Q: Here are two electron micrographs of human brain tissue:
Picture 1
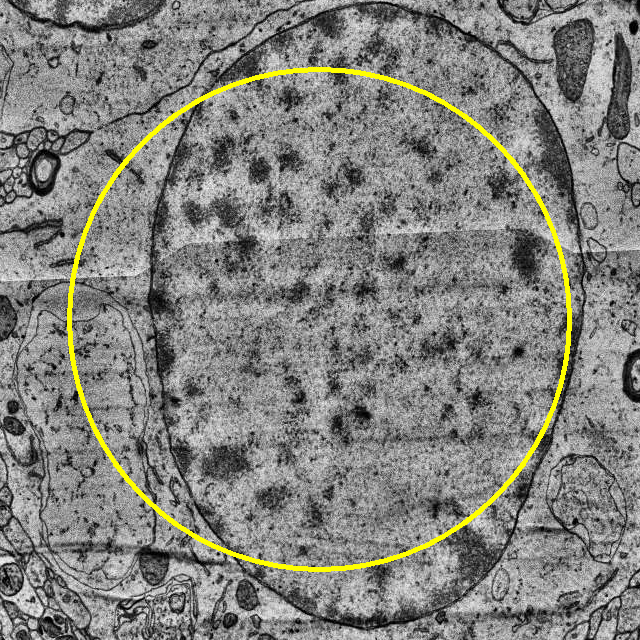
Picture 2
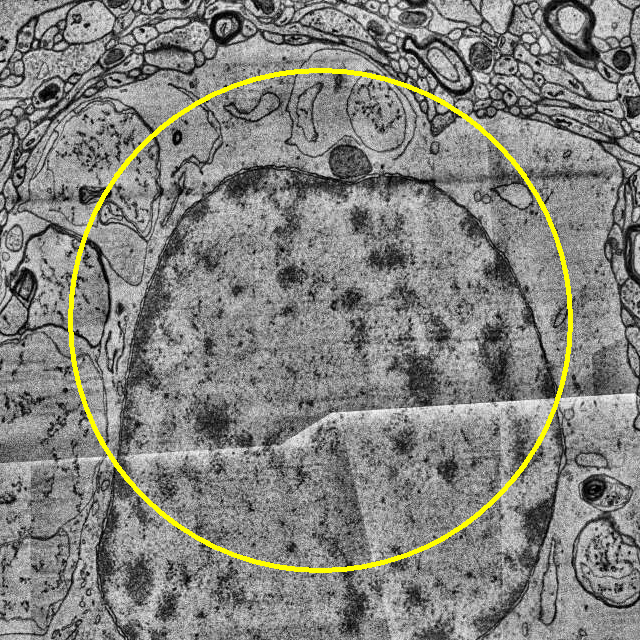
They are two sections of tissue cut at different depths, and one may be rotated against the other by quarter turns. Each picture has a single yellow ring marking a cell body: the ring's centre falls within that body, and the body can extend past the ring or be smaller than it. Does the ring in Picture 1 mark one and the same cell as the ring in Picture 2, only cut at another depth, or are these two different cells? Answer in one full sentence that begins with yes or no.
No, the two yellow rings surround two different cells.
